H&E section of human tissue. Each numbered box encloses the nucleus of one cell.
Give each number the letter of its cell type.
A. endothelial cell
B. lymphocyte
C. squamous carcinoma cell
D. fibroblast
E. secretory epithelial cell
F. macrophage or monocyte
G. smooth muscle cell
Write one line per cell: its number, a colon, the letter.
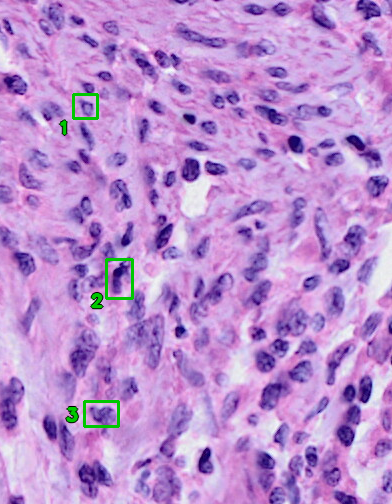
1: D
2: B
3: B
